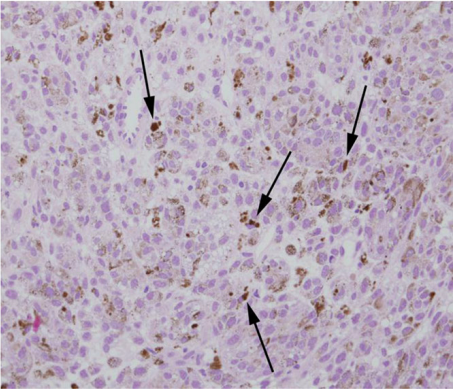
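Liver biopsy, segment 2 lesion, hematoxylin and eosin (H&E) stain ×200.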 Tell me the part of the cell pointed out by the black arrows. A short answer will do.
Intra-cytoplasmic melanin pigments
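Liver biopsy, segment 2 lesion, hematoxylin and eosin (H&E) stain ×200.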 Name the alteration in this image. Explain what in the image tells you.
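Malignant melanoma. Sheets of crowded atypical cells with no normal liver plates. Many cells contain brown granular pigment in the cytoplasm. Nuclei are oval to round and vary in size.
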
